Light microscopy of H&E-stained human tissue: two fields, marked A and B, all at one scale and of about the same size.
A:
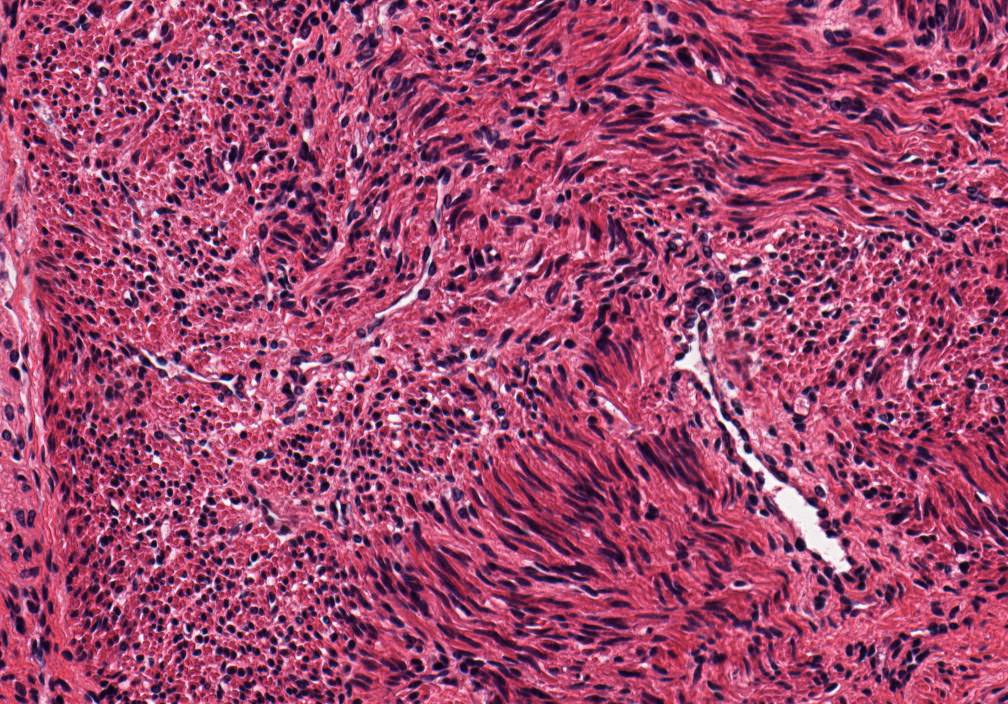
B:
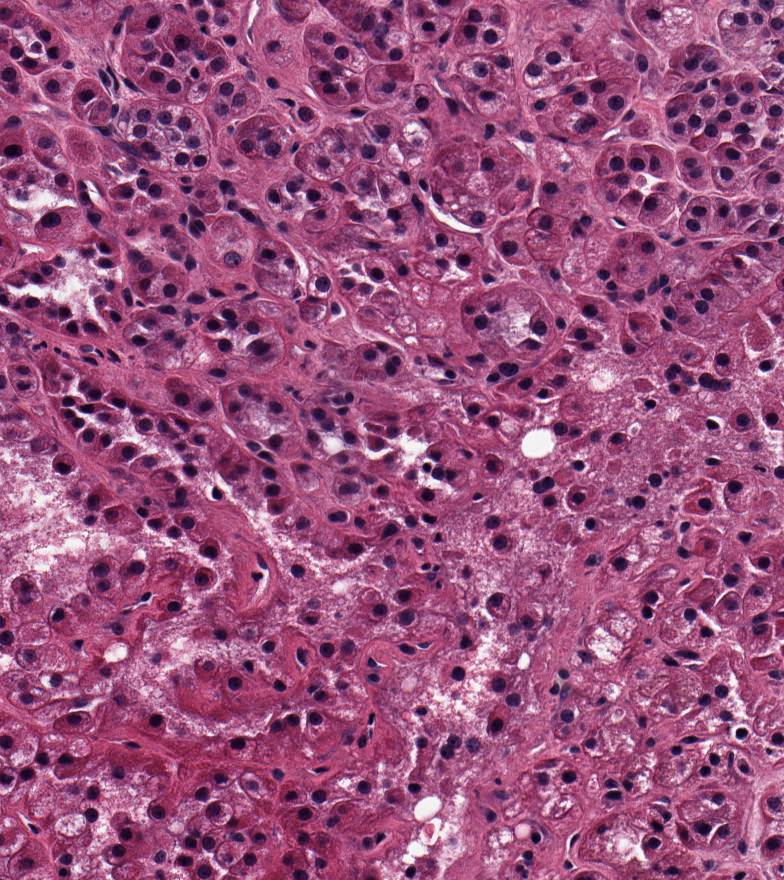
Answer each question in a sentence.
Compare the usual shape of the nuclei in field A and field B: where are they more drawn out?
It is field A whose nuclei are the more elongated.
